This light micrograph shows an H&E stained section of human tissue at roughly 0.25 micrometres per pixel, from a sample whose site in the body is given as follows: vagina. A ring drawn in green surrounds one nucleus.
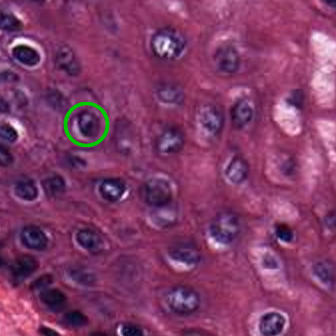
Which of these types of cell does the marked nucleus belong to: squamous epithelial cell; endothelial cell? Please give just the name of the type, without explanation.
squamous epithelial cell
